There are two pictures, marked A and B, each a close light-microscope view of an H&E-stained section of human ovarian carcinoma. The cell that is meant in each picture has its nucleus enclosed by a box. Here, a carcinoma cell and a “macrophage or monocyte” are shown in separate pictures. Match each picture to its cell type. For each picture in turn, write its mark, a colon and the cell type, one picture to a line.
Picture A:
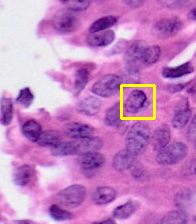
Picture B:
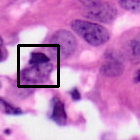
A: macrophage or monocyte
B: carcinoma cell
